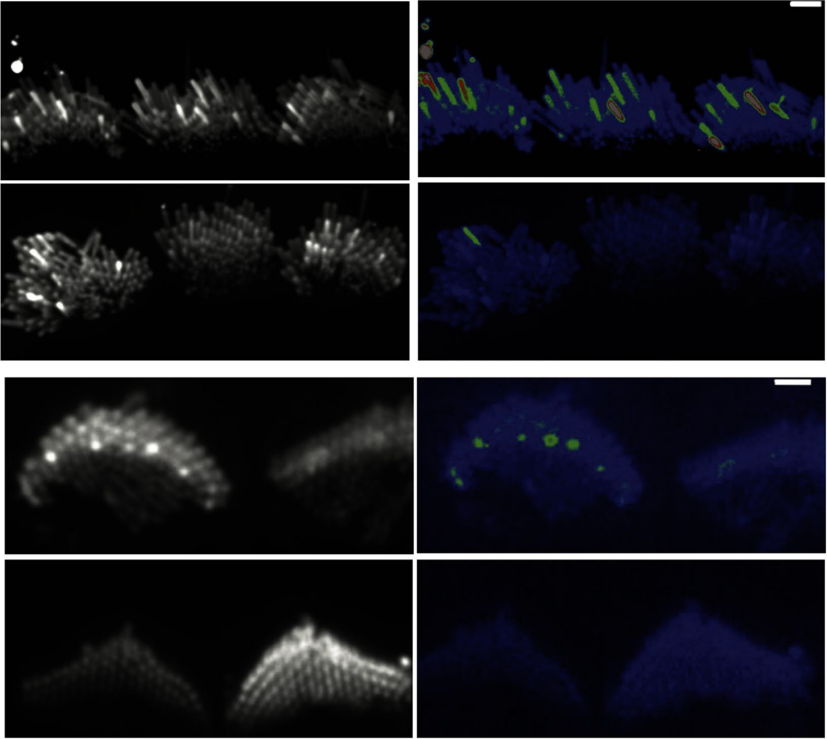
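Hair bundles of sensory hair cells from the organ of Corti, each made of many slender stereocilia packed side by side in rows that rise in height across the bundle. Several bundles sit next to each other along a row. In the grey images the stereocilia appear as fine bright rods, some with brighter tips or spots. In the false-coloured images beside them the bundles are dark blue, and in some rows individual stereocilia stand out in green, a few with red and yellow centres, while in other rows the bundles stay almost uniformly blue with little or no green.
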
